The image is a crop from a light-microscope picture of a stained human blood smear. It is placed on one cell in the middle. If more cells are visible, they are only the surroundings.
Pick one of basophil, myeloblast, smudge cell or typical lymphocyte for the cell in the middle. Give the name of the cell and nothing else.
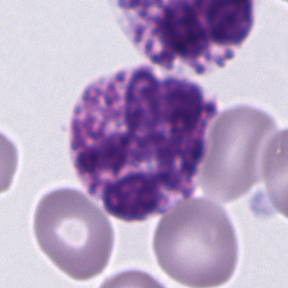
basophil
